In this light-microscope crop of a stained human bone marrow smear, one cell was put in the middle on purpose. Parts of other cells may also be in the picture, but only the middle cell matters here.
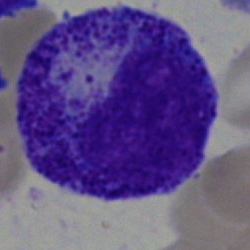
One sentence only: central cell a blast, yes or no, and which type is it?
No, the cell in the middle is a promyelocyte, not a blast.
